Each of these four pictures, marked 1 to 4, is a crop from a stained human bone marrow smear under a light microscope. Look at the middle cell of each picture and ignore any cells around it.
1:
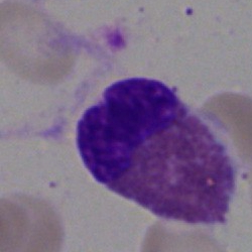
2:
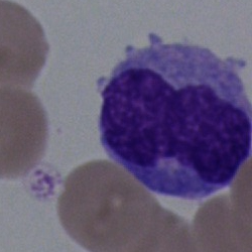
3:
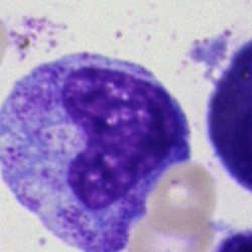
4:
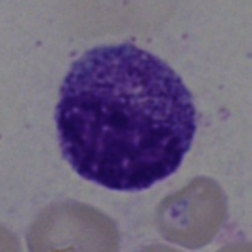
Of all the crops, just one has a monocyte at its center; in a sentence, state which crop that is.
In the set of crops, crop 2 is the one that contains a monocyte.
